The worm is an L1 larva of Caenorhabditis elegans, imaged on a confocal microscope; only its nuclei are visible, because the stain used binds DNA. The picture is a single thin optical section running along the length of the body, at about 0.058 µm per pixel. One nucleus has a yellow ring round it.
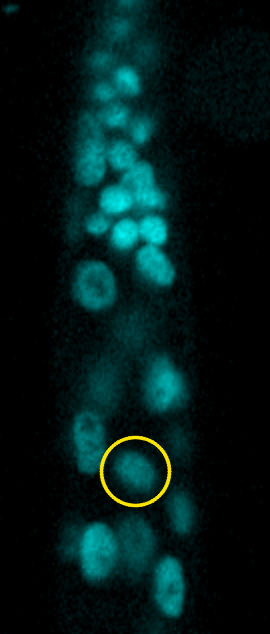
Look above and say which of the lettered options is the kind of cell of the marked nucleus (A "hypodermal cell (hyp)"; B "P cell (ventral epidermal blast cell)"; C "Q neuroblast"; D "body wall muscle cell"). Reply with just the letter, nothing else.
B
